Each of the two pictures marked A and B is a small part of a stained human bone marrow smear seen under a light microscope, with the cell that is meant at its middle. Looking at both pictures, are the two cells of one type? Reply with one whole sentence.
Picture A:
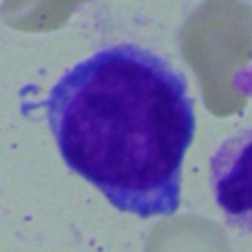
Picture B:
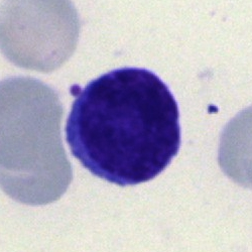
No; the cell in picture A is a blast, while the one in picture B is a lymphocyte.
